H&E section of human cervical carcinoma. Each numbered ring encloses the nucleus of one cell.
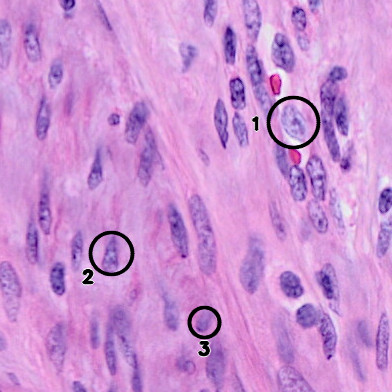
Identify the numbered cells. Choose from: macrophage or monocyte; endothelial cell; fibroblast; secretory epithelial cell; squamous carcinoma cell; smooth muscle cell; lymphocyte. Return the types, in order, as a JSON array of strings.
["endothelial cell", "smooth muscle cell", "smooth muscle cell"]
